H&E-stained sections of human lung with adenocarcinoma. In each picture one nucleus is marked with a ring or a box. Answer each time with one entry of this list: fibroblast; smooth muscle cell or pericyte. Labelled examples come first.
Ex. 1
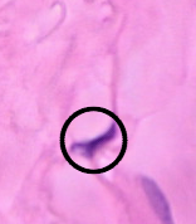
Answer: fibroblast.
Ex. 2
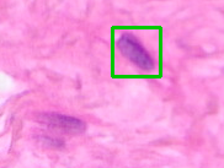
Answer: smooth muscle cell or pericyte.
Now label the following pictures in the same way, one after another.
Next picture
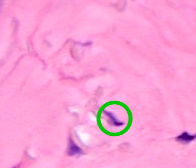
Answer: fibroblast.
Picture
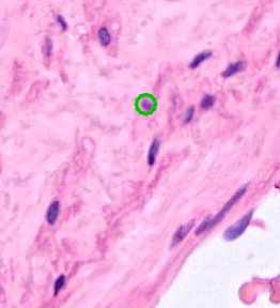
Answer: smooth muscle cell or pericyte.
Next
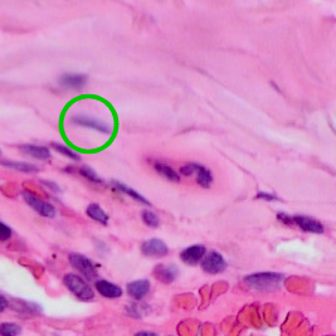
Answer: fibroblast.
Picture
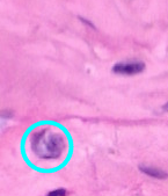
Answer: fibroblast.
